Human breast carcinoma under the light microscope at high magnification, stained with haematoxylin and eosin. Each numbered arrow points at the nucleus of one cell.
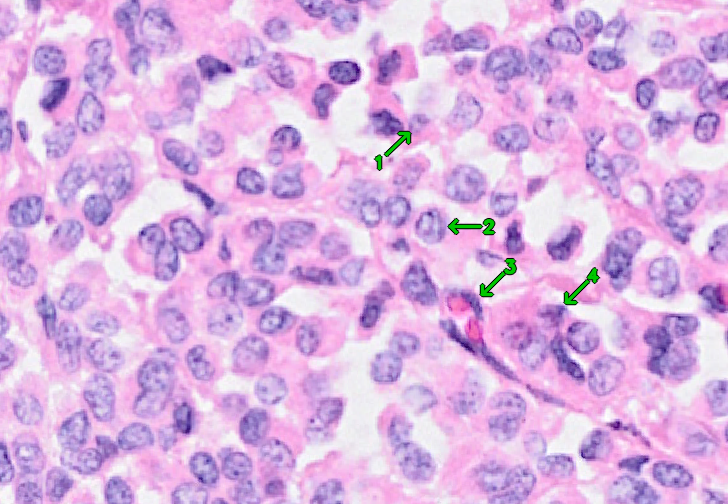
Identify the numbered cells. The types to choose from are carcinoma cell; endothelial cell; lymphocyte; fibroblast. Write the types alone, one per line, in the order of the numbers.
carcinoma cell
carcinoma cell
endothelial cell
carcinoma cell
